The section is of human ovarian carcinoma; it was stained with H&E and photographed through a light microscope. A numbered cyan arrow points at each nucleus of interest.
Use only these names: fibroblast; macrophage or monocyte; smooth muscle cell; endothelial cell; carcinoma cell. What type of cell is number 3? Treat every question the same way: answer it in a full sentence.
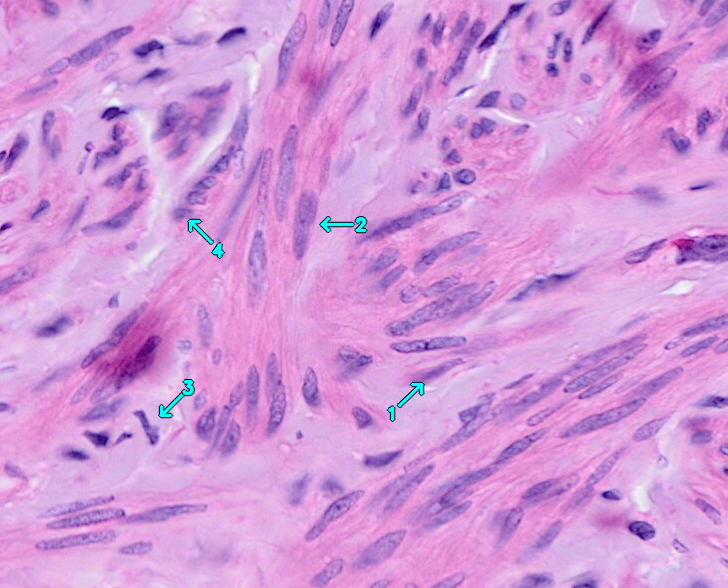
The cell identified by number 3 is a fibroblast.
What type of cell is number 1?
The cell carrying label 1 is identified as a smooth muscle cell.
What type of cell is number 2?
Number 2 among the marked cells is a smooth muscle cell.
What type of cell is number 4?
The cell identified by number 4 is a smooth muscle cell.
